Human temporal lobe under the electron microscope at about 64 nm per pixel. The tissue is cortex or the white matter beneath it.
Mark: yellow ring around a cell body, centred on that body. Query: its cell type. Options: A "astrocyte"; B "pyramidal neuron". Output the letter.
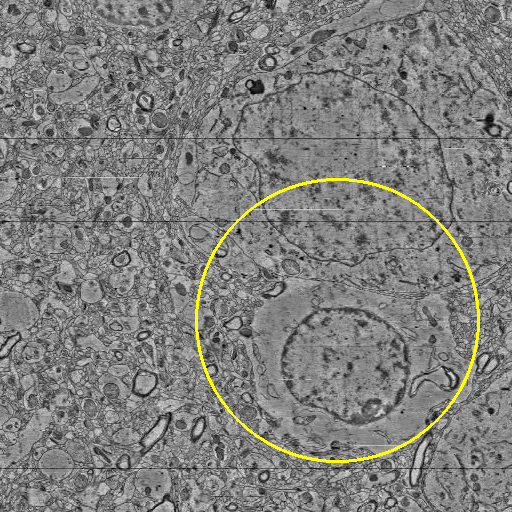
A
